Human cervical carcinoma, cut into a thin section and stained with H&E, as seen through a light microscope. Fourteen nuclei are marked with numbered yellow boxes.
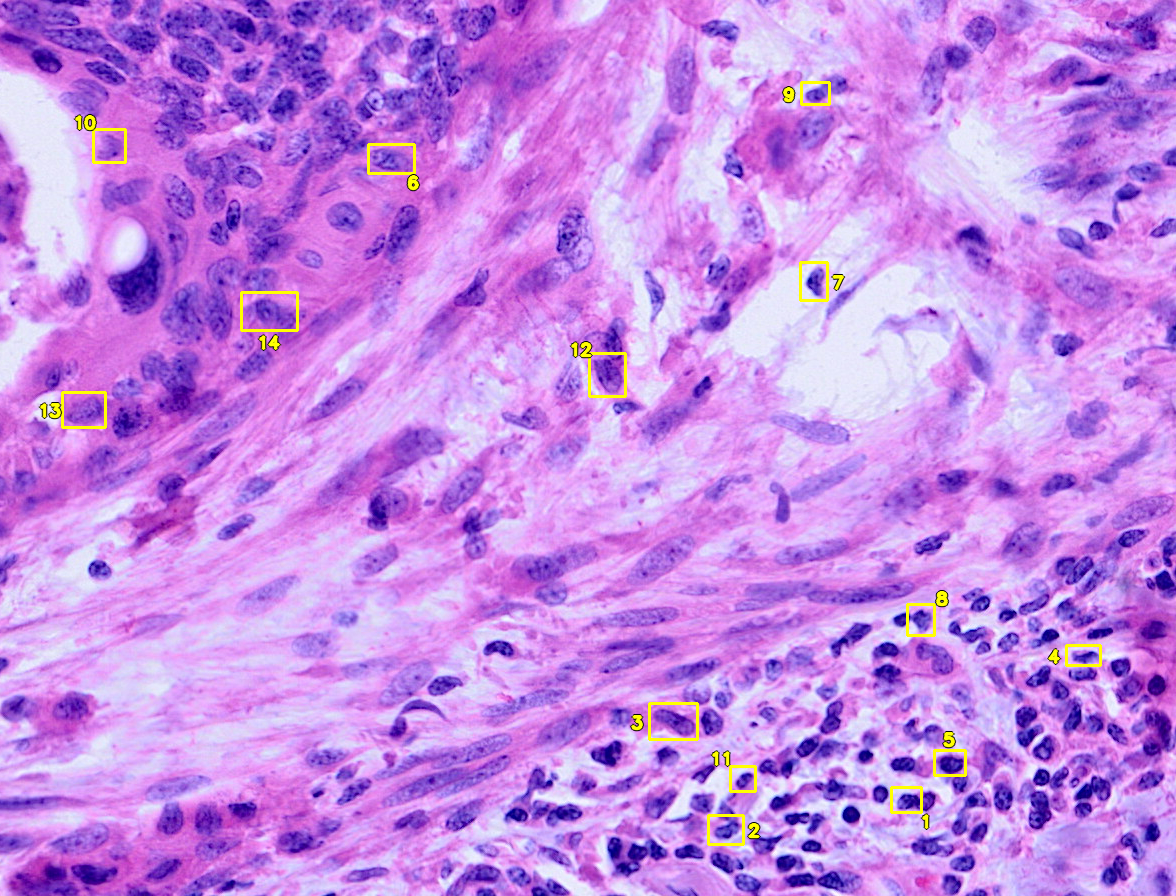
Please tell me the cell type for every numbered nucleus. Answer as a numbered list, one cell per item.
1. lymphocyte
2. lymphocyte
3. macrophage or monocyte
4. lymphocyte
5. lymphocyte
6. squamous carcinoma cell
7. lymphocyte
8. lymphocyte
9. lymphocyte
10. squamous carcinoma cell
11. lymphocyte
12. macrophage or monocyte
13. squamous carcinoma cell
14. squamous carcinoma cell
